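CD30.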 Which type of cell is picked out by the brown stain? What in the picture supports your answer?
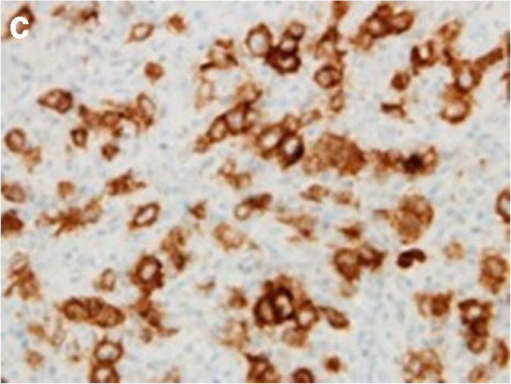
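Small background cells with blue nuclei are unstained.
Tumor cells.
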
